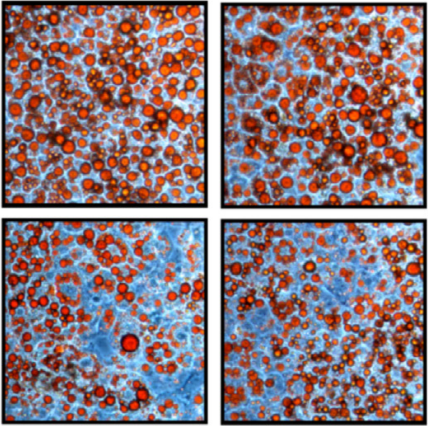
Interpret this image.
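The cells are packed with round lipid droplets of varied size, from small clustered droplets to single large ones. Some areas show patches of blue with fewer droplets.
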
